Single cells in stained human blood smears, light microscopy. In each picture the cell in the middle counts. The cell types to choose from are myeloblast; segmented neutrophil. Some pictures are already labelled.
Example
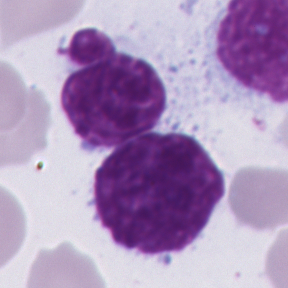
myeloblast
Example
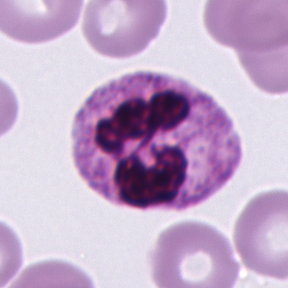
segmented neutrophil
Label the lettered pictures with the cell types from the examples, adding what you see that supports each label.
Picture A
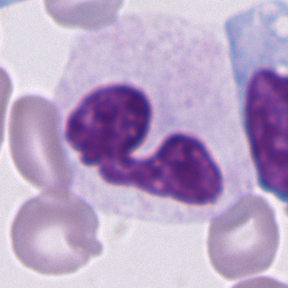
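segmented neutrophil: The cytoplasm is abundant and covers more of the cell than the nucleus does.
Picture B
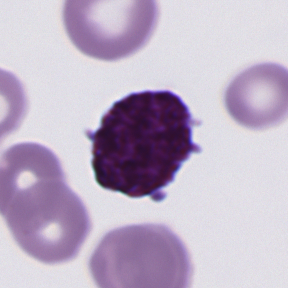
myeloblast: Cytoplasm is so scant that it is barely visible around the nucleus.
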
